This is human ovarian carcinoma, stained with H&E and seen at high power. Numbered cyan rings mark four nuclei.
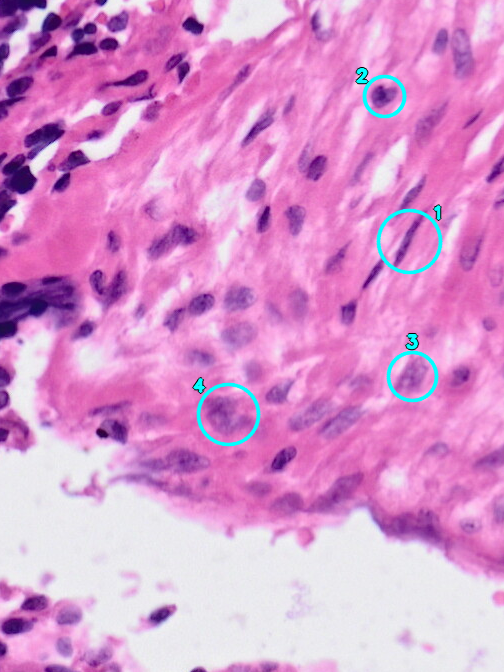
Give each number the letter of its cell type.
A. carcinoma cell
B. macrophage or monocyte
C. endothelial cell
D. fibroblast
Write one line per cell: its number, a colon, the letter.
1: D
2: B
3: D
4: D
